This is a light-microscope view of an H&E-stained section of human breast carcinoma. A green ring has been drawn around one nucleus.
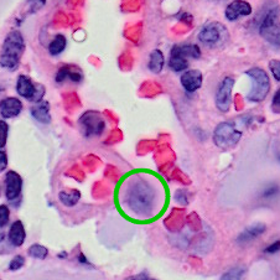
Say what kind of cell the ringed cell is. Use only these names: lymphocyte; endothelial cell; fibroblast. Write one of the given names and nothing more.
endothelial cell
